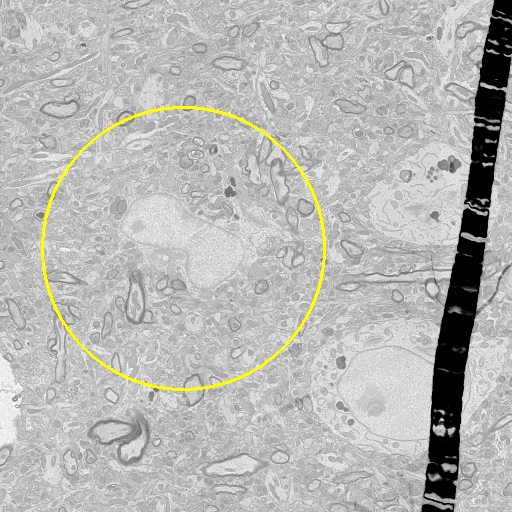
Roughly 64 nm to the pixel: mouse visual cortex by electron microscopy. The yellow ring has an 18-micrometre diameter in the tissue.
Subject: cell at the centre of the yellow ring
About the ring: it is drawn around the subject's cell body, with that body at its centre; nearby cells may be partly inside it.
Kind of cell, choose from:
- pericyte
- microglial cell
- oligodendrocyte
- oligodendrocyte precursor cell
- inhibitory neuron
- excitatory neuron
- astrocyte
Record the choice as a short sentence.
The subject cell is an astrocyte.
